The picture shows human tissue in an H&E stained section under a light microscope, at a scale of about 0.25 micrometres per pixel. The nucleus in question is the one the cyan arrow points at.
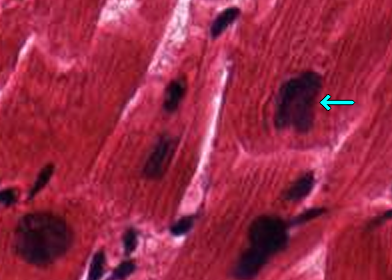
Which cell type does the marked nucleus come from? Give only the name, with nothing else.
cardiomyocyte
